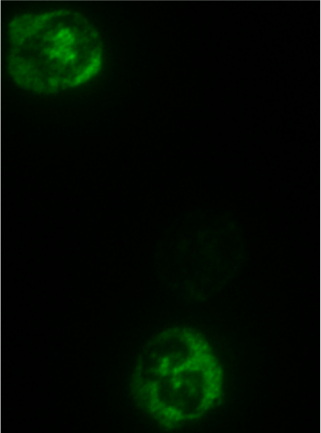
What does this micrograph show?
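Fluorescence view of white blood cells in which two round cells are strongly labelled green and a third between them only faintly. The green fills the cytoplasm and rim of each cell, leaving dark, lobed nuclear regions unstained in the middle.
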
